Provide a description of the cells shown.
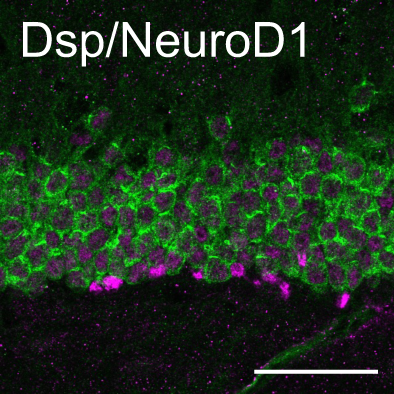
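The granule cell layer of the dentate gyrus fills the middle of the field as a thick band of tightly packed round cell bodies. Green outlines each cell along its membrane in a honeycomb pattern, while the nuclei inside the layer are only faintly magenta. A few small, intensely magenta nuclei sit along the lower edge of the layer, at its border with the hilus.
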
